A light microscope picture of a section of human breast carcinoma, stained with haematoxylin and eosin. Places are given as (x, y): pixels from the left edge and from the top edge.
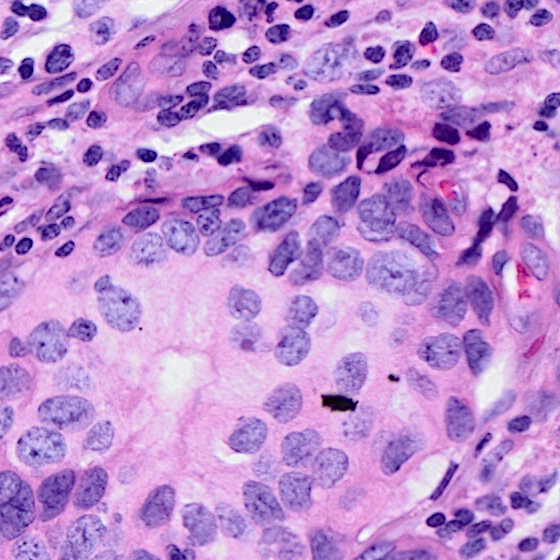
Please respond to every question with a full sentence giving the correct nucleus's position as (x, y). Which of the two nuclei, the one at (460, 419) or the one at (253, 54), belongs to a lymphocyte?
Answering which nucleus it is: the one at (253, 54), belonging to a lymphocyte.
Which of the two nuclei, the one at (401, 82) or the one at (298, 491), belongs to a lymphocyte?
In this pair, the nucleus at (401, 82) belongs to a lymphocyte.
